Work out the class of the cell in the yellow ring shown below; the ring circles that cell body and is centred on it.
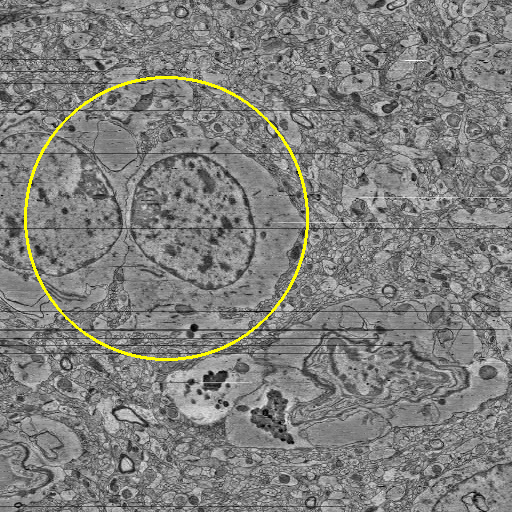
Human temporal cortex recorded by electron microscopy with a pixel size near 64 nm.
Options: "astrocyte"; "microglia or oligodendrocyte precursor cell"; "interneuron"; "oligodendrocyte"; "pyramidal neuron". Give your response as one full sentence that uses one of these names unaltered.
The body ringed in yellow, right at the ring's centre, is that of an astrocyte.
